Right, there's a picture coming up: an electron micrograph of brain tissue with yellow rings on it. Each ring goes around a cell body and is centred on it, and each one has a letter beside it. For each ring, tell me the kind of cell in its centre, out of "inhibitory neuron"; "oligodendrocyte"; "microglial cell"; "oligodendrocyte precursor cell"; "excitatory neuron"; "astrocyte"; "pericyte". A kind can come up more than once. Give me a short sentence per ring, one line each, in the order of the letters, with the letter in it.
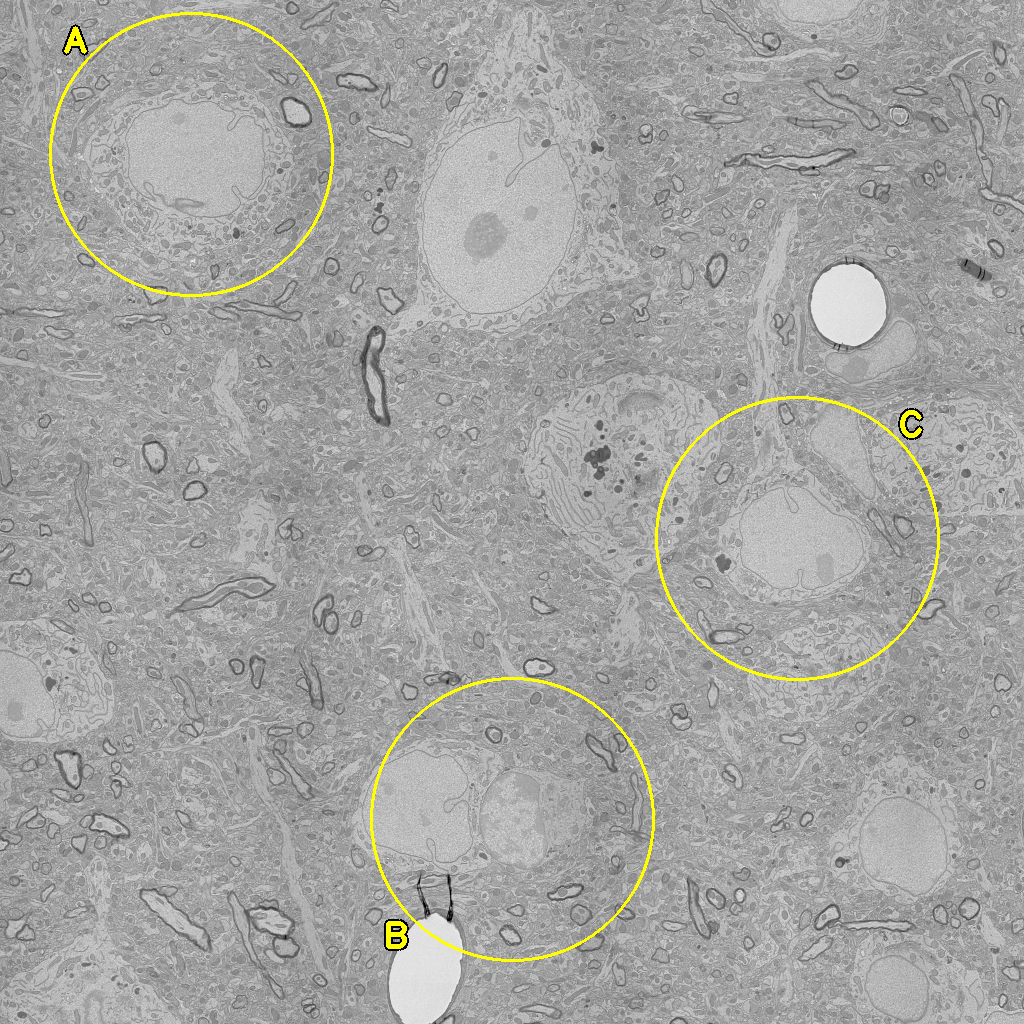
That's an inhibitory neuron in ring A.
That's an oligodendrocyte in ring B.
That's an excitatory neuron in ring C.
